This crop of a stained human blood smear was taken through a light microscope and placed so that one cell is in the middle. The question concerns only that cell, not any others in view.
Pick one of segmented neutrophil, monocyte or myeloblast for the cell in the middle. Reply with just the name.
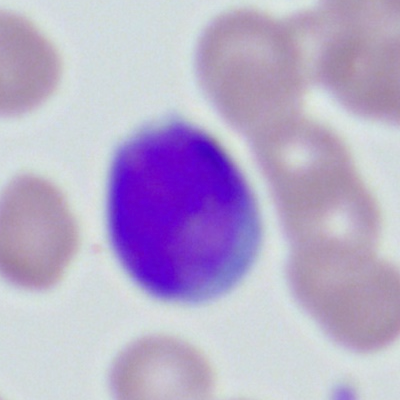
myeloblast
